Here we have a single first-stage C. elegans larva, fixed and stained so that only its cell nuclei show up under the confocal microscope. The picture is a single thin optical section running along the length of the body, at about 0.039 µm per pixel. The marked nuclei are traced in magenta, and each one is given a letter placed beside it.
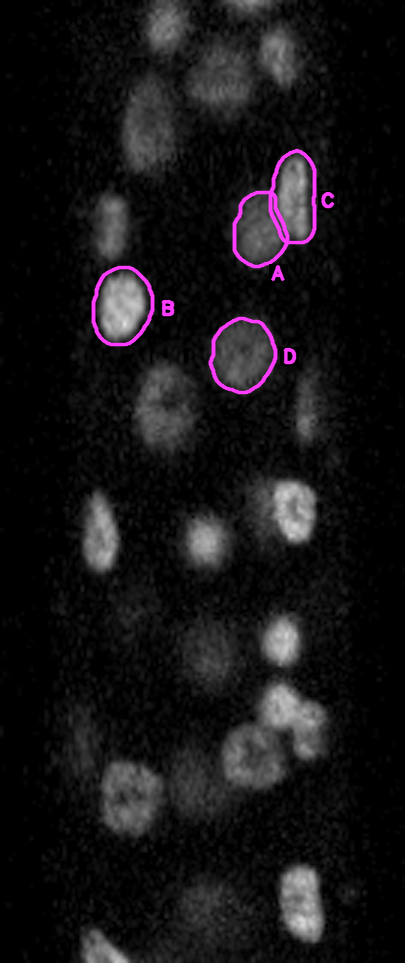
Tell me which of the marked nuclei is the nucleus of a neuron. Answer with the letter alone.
B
